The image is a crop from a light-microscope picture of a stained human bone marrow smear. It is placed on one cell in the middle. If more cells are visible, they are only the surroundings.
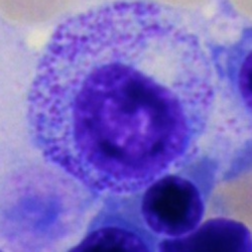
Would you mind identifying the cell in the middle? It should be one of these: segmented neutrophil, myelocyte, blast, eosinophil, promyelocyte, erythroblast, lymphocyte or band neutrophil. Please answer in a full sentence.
The cell around which this crop is centred is a myelocyte.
